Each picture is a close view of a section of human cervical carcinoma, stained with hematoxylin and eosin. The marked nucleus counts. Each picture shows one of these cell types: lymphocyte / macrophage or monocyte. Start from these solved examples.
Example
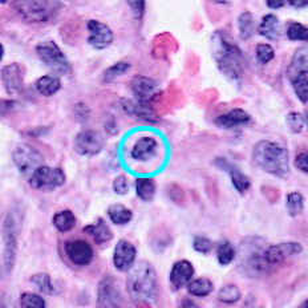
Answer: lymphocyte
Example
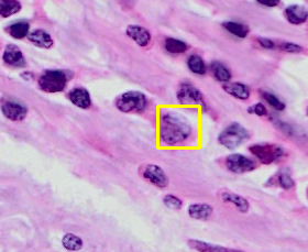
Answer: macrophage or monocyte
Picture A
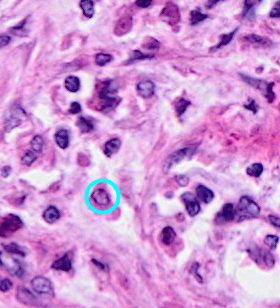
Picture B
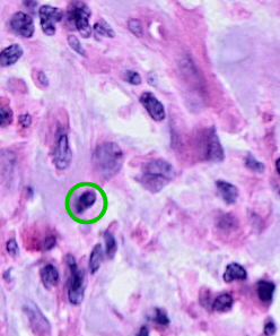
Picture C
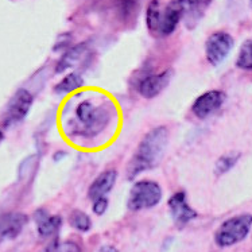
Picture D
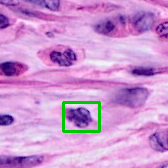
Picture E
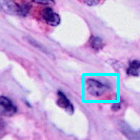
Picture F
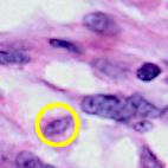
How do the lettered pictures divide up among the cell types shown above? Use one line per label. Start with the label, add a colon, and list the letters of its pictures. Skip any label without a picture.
lymphocyte: B, D
macrophage or monocyte: A, C, E, F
